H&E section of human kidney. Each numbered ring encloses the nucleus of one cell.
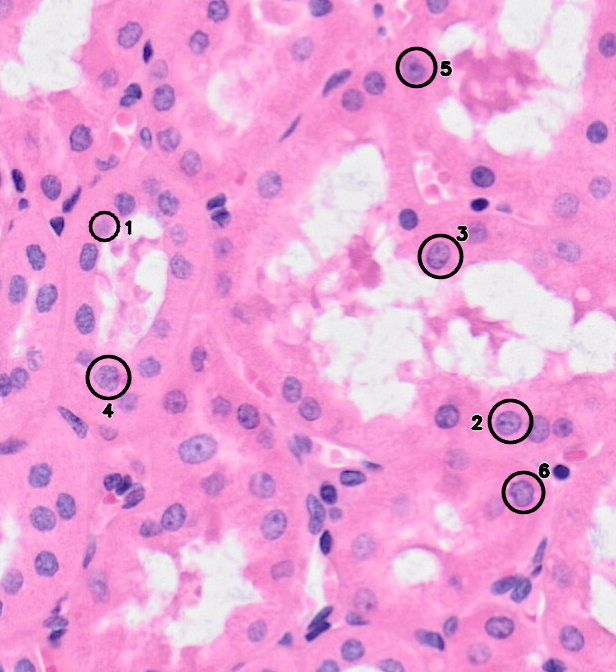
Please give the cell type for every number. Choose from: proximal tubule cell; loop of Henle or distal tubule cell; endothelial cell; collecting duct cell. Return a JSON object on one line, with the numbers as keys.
{"1": "loop of Henle or distal tubule cell", "2": "proximal tubule cell", "3": "proximal tubule cell", "4": "loop of Henle or distal tubule cell", "5": "proximal tubule cell", "6": "proximal tubule cell"}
